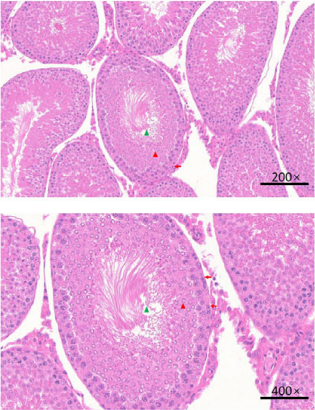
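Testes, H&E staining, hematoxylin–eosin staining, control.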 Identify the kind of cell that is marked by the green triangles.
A: Sperm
